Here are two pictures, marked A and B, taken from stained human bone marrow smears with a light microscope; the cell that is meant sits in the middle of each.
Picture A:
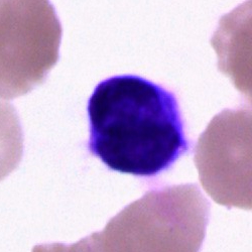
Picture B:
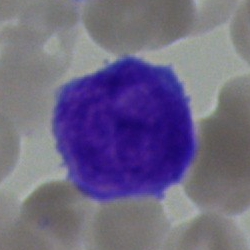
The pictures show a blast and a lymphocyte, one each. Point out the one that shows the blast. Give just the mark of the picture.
B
